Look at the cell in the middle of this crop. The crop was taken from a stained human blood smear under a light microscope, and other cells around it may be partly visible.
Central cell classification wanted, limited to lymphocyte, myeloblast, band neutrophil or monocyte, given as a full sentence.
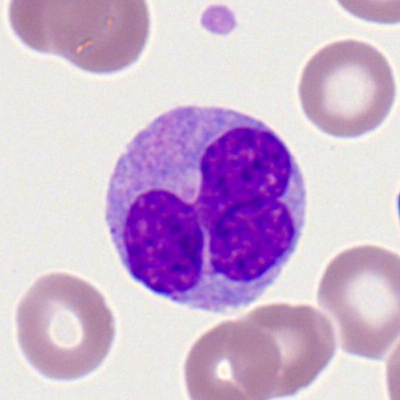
The cell found in the middle of this crop is a monocyte.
